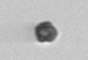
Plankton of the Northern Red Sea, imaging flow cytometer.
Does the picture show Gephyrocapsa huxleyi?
Yes.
